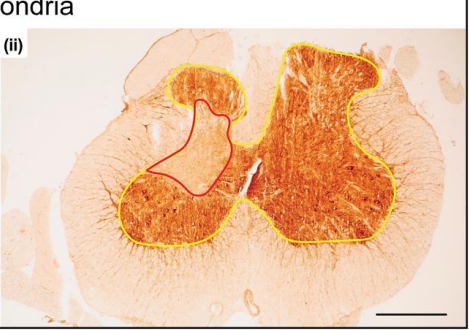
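This is a transverse section of spinal cord in which the grey matter is stained orange-brown and surrounded by paler white matter. The grey matter is asymmetrical: the left half is clearly smaller than the right. Within the left half lies a pale area with little or no brown staining, marking grey matter undergoing atrophy. The right half of the grey matter keeps its dense, even brown staining and normal shape.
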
